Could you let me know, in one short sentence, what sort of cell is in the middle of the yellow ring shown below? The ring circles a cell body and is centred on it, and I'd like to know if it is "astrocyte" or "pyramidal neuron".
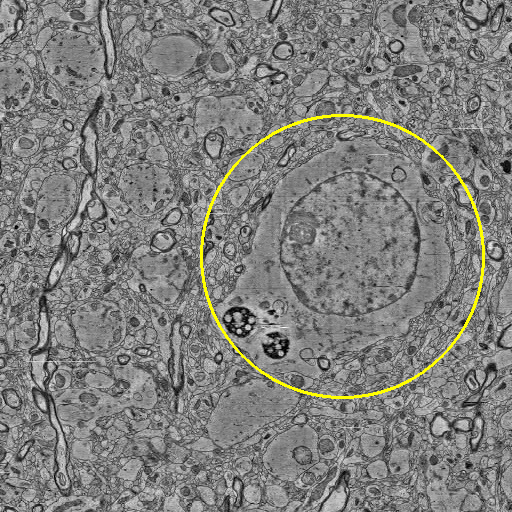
The ring circles the cell body of an astrocyte.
